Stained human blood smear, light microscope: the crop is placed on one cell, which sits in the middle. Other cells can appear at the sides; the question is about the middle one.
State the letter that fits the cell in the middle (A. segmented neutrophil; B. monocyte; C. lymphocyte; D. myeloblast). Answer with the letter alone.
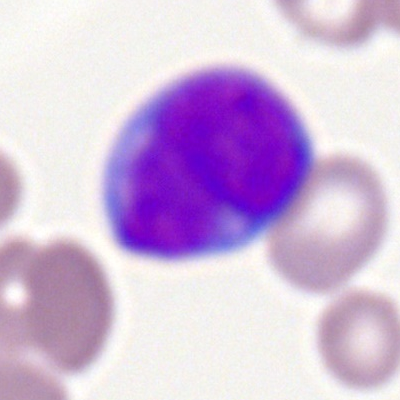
D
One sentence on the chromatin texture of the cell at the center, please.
The chromatin remains finely textured, with no coarse clumps to speak of.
